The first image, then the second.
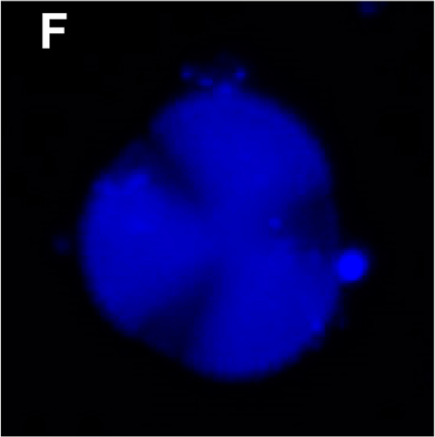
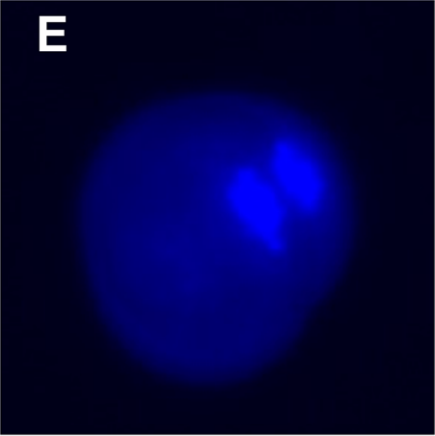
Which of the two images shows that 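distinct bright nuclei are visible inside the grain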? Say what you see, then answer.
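Second image: two bright blue nuclear bodies stand out from the dimmer cytoplasm.
Answer: the second image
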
